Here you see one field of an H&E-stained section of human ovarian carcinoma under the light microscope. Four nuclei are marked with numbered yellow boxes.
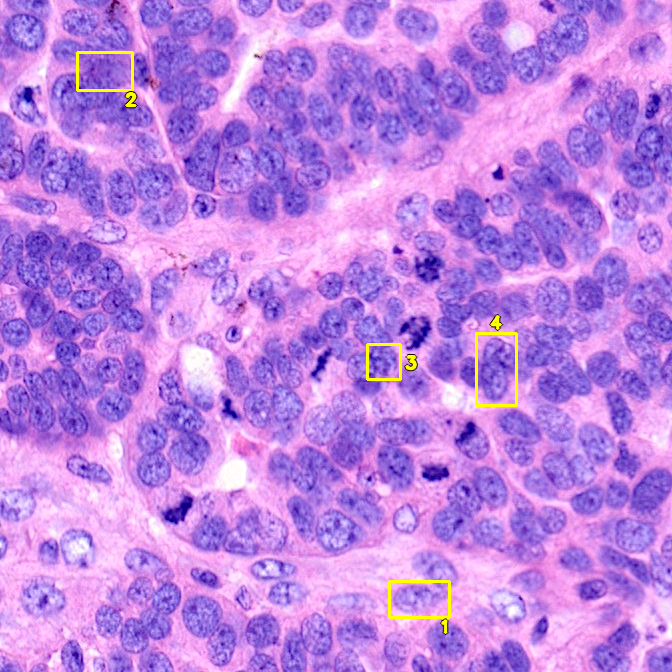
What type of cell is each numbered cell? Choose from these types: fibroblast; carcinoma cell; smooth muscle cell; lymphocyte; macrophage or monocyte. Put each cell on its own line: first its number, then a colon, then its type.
1: fibroblast
2: carcinoma cell
3: carcinoma cell
4: carcinoma cell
